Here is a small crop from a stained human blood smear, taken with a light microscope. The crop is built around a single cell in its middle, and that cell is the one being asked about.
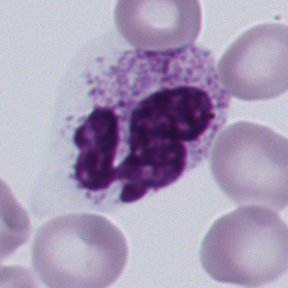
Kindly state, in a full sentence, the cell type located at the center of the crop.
Positioned in the middle of the crop is a segmented neutrophil.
